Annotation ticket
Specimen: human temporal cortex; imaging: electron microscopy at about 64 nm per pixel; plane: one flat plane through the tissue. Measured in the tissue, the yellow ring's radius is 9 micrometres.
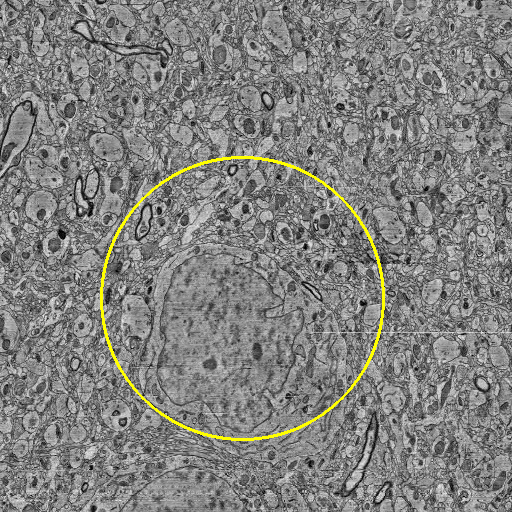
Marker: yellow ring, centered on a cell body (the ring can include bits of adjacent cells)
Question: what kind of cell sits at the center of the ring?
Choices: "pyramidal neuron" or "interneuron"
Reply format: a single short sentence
The ring is centered on an interneuron.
